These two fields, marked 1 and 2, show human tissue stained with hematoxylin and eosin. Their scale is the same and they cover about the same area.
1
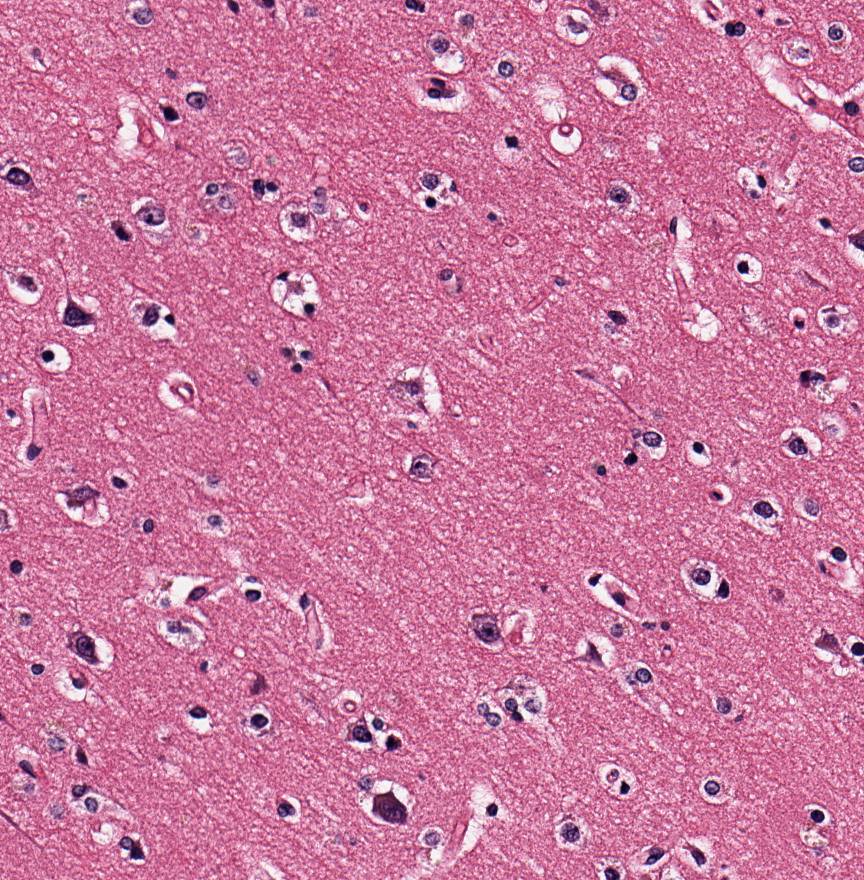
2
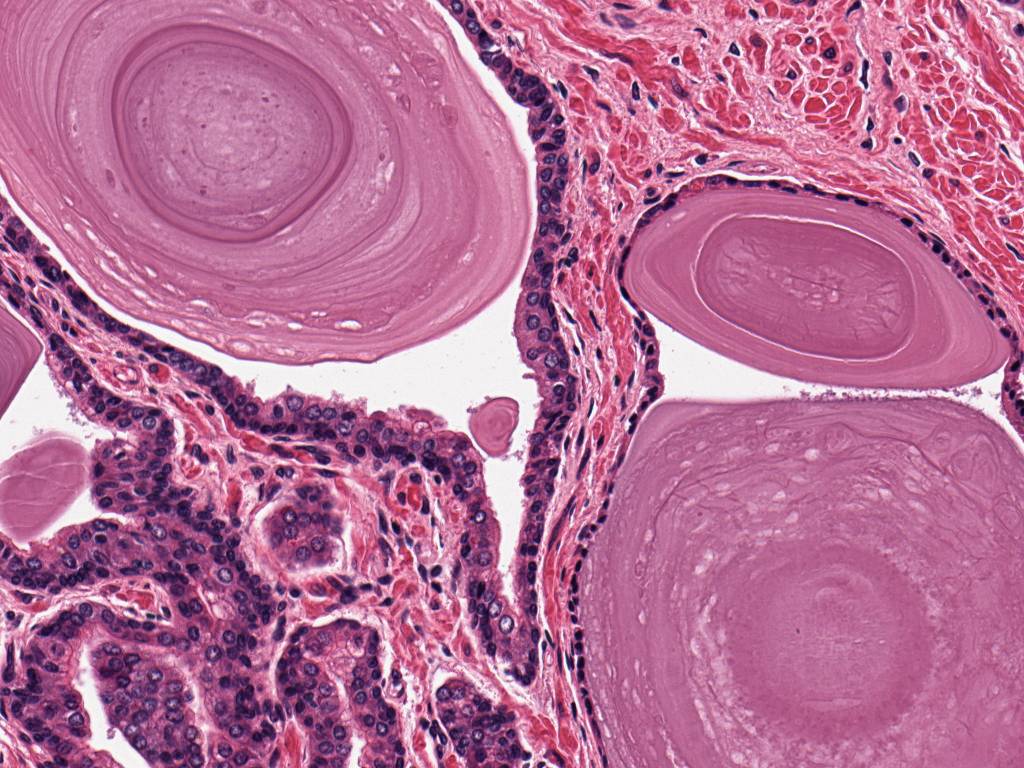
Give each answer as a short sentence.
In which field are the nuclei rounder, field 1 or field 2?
The nuclei are rounder in field 1.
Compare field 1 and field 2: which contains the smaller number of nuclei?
The smaller number of nuclei is in field 1.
